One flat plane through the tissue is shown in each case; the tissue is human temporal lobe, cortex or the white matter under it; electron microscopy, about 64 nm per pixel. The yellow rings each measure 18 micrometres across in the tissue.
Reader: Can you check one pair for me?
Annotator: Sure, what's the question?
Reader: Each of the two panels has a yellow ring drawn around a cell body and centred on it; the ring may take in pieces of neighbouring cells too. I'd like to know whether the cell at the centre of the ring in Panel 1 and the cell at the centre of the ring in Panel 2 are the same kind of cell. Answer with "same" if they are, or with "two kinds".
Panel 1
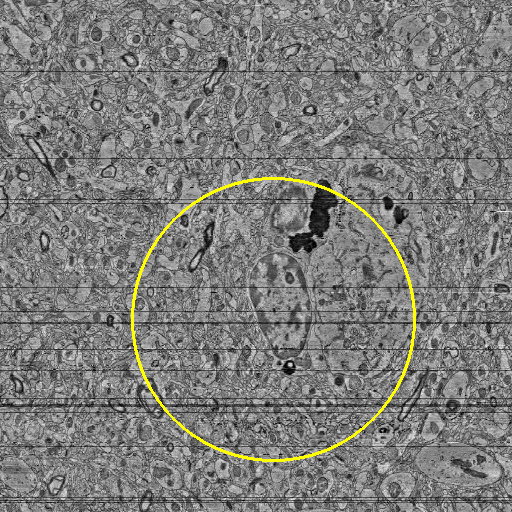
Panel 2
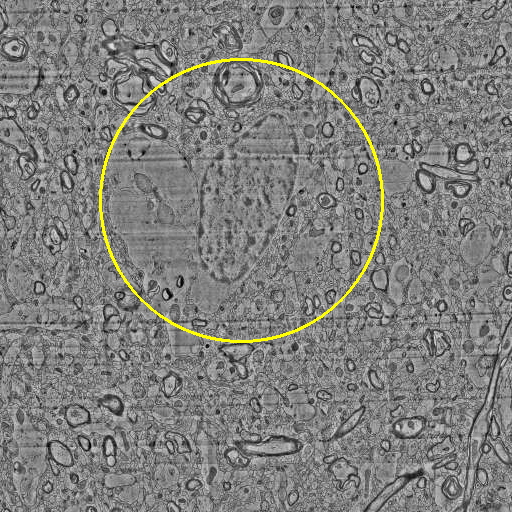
same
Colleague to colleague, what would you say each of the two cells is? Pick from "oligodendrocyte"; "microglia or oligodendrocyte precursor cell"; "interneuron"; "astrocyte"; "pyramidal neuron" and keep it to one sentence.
Both the first and the second picture show a microglial cell or oligodendrocyte precursor cell in the ring.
